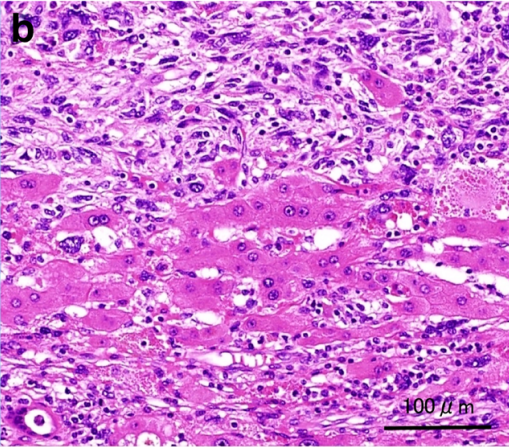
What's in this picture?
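The tumor is made of loosely arranged pleomorphic cells set in a pale pink, loose stroma. Their nuclei vary widely in size and shape, and some cells are large with several dark, irregular nuclei. Across the middle runs a band of larger polygonal cells with abundant pink cytoplasm and round central nuclei, lying in cords with clear spaces between them. Small dark round nuclei of inflammatory cells are scattered throughout, and red blood cells gather in places.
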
